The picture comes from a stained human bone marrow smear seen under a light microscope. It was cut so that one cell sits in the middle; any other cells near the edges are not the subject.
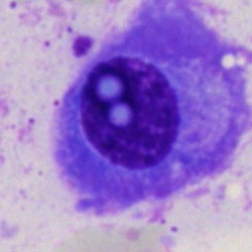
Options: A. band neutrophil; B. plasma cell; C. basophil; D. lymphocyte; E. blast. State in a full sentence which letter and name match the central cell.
Of the choices given, option B is right, as the central cell is a plasma cell.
